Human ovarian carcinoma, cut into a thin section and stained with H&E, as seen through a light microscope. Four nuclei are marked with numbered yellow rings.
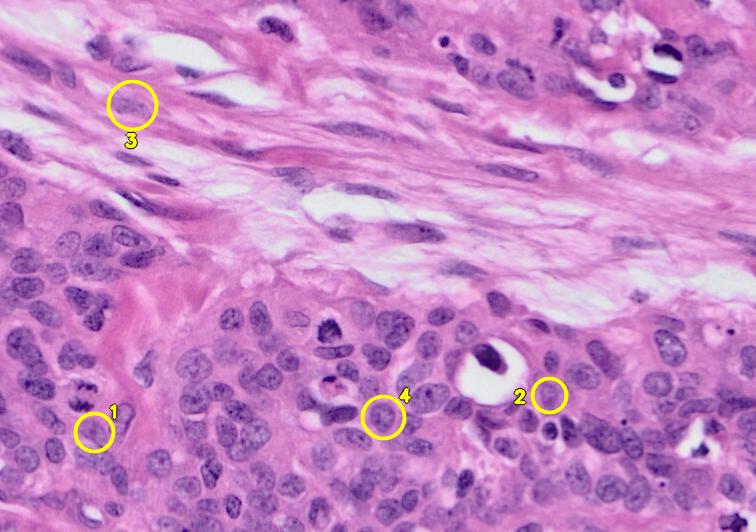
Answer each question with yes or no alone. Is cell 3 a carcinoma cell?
no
